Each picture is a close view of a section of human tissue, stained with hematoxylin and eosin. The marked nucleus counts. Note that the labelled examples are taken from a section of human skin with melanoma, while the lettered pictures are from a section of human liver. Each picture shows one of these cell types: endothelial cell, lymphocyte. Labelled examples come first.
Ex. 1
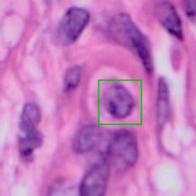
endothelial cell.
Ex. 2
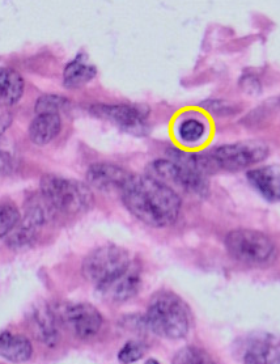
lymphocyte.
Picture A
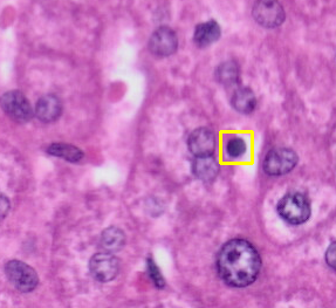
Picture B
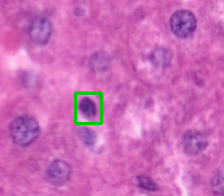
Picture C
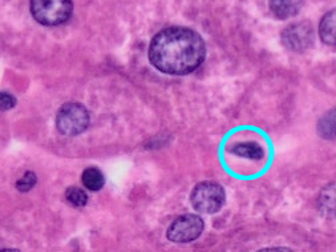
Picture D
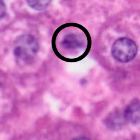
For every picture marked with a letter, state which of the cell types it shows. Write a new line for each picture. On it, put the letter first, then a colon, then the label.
A: lymphocyte.
B: lymphocyte.
C: lymphocyte.
D: endothelial cell.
